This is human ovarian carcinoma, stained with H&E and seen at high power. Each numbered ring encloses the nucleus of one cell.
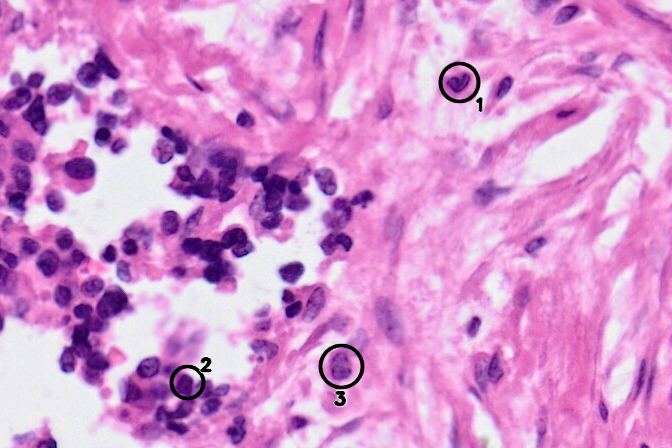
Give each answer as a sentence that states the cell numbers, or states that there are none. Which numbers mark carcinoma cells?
Cell 2 is the only one of the numbered cells that is a carcinoma cell.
